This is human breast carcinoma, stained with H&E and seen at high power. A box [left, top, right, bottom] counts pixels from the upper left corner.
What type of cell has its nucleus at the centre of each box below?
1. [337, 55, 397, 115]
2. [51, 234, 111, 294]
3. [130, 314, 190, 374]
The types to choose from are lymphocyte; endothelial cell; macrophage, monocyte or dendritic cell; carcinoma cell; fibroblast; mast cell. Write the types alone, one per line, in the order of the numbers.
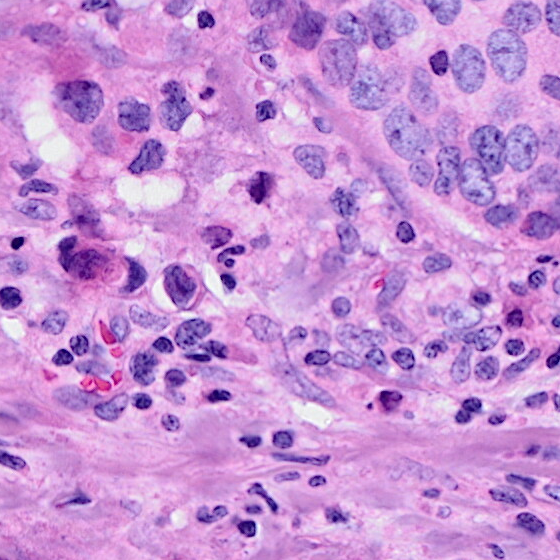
carcinoma cell
carcinoma cell
lymphocyte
